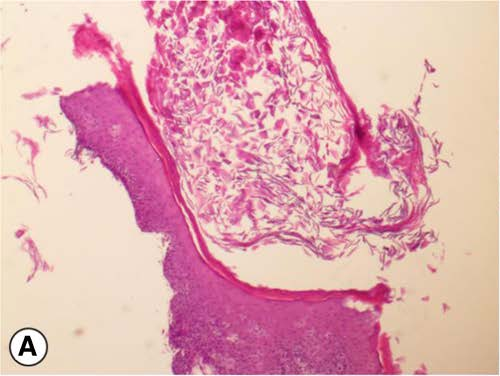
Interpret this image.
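At low power a band of purple-staining epithelium runs down the lower left side of the field. Its surface is lined by a thin, compact, bright pink lamella. Beside it a space is filled with loose, delicate pink flakes in a basket-weave pattern, with no nuclei among them. The epithelial band with its keratin contents forms the wall of a cyst.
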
